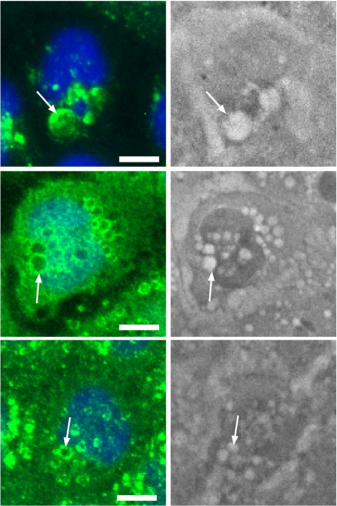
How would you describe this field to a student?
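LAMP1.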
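These are cultured cells whose cytoplasm is crowded with round vacuoles. In the fluorescence images each vacuole appears as a green ring with a darker centre, and the vacuoles gather around the blue nucleus. In the bright-field images the same vacuoles show as clear, smooth round bubbles of varying size.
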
